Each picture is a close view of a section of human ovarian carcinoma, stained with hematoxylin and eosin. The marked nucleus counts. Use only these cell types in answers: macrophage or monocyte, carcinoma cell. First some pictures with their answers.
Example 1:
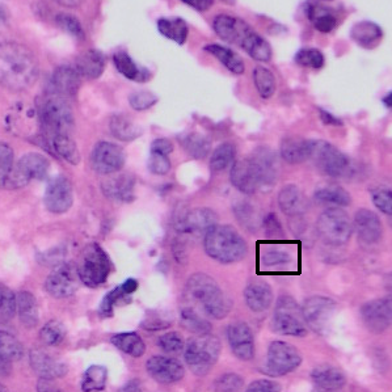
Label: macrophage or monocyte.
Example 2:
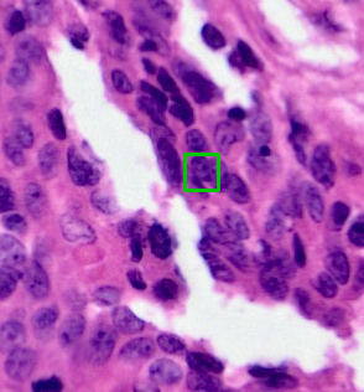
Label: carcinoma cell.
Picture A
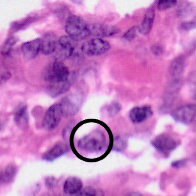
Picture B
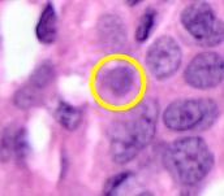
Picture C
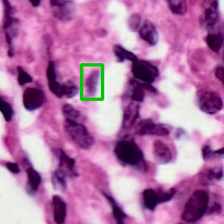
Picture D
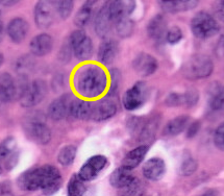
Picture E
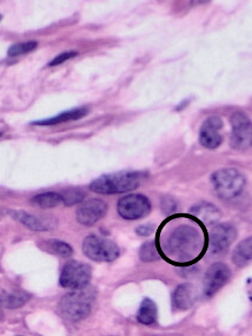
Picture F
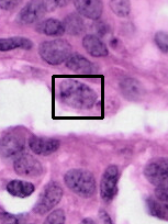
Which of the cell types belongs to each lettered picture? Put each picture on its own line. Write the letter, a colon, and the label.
A: carcinoma cell.
B: carcinoma cell.
C: macrophage or monocyte.
D: carcinoma cell.
E: carcinoma cell.
F: macrophage or monocyte.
